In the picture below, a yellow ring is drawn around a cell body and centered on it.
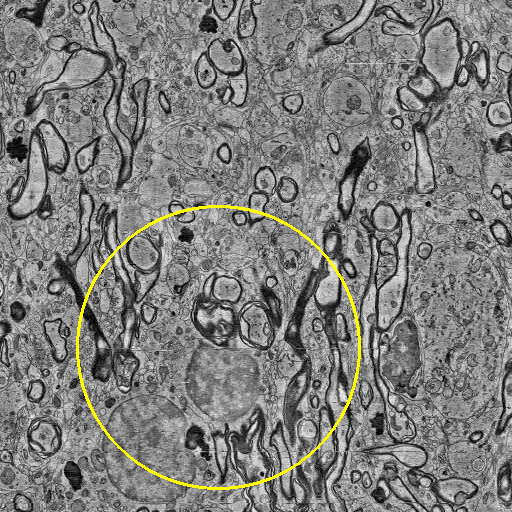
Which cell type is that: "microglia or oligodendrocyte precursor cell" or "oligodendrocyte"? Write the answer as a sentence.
The cell centered in the ring is an oligodendrocyte.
